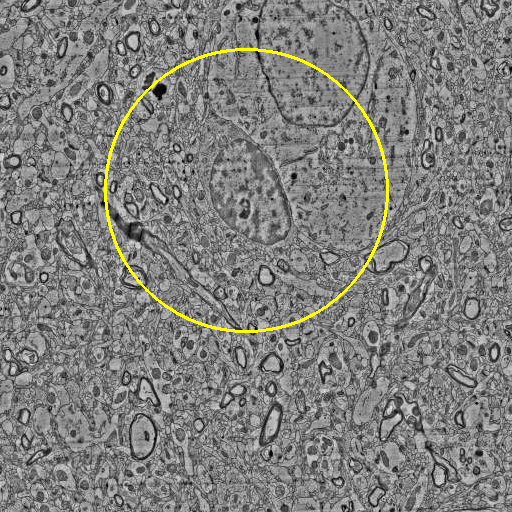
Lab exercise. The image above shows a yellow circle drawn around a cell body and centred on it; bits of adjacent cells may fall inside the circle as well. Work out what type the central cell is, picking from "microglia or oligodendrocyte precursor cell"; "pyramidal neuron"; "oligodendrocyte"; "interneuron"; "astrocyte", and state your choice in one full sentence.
In the image above, the cell at the centre of the yellow circle is an oligodendrocyte.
